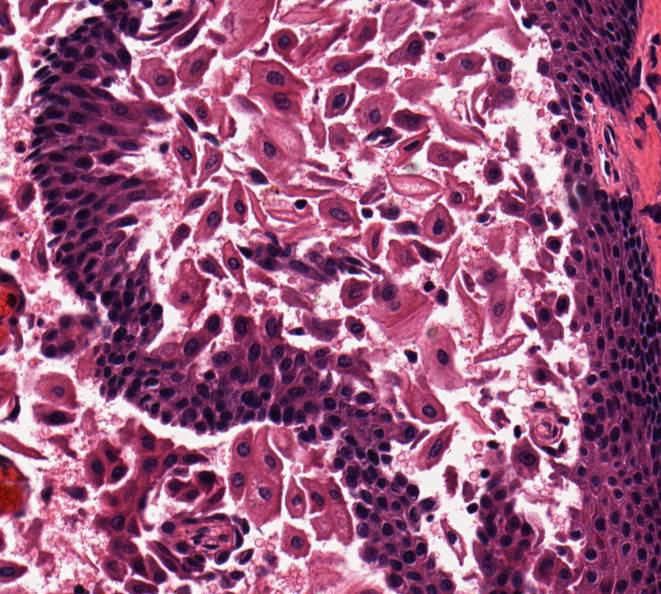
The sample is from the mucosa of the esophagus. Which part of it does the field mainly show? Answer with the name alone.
stratified squamous nonkeratinized epithelium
